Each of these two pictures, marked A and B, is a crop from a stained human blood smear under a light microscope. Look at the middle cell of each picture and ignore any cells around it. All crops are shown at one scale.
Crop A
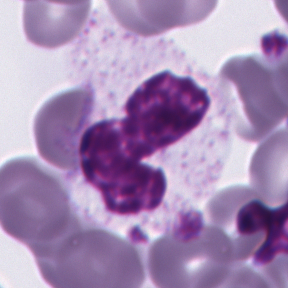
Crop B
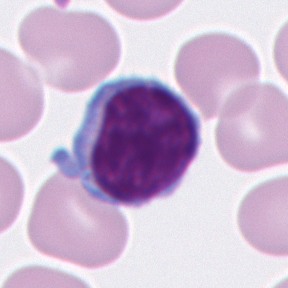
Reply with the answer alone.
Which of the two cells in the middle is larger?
A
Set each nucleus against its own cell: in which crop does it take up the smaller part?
A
